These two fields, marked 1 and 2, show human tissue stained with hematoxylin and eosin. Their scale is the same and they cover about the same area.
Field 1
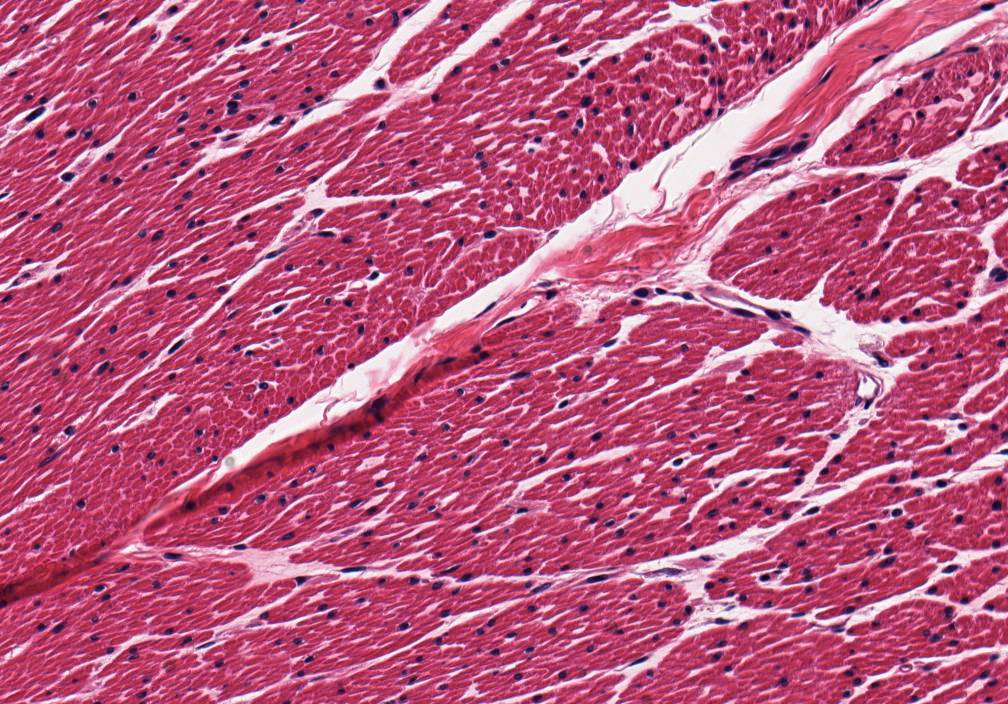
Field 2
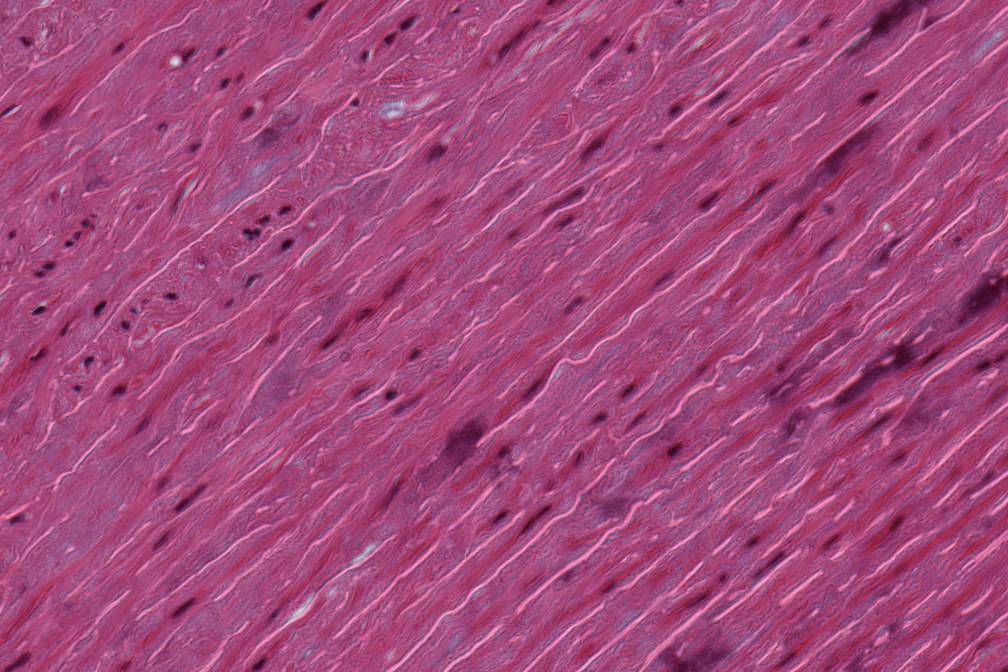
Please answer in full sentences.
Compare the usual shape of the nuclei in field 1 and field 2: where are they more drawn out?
On the whole the nuclei of field 2 are more drawn out than those of field 1.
